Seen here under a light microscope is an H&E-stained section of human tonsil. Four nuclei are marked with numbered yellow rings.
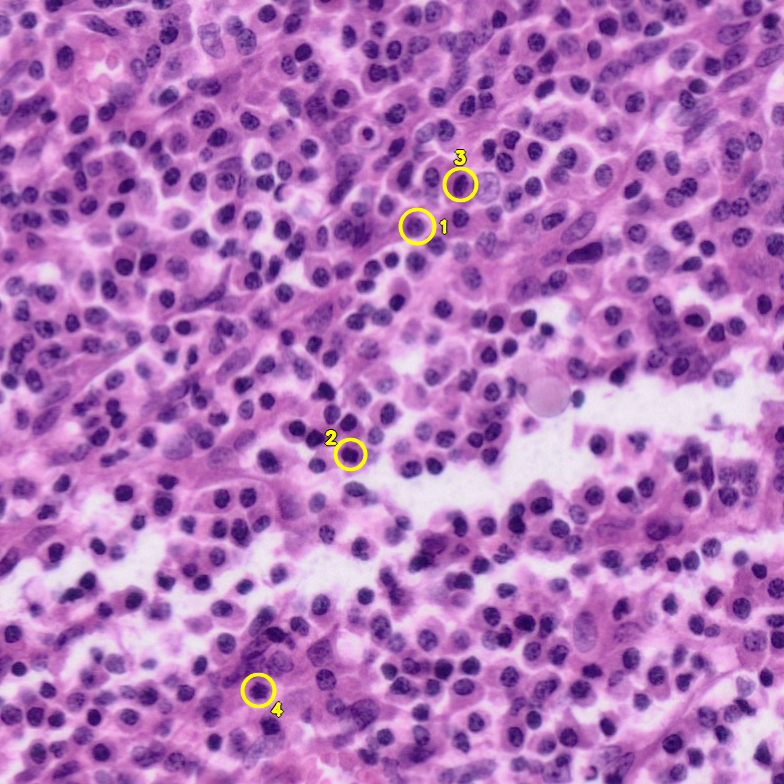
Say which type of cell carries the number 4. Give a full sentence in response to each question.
The cell that is numbered 4 is a squamous epithelial cell.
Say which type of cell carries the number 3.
Number 3 among the marked cells is a plasma cell.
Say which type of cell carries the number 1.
Cell 1 in the field is a plasma cell.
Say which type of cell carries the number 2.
Among the marked nuclei, number 2 belongs to a plasma cell.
